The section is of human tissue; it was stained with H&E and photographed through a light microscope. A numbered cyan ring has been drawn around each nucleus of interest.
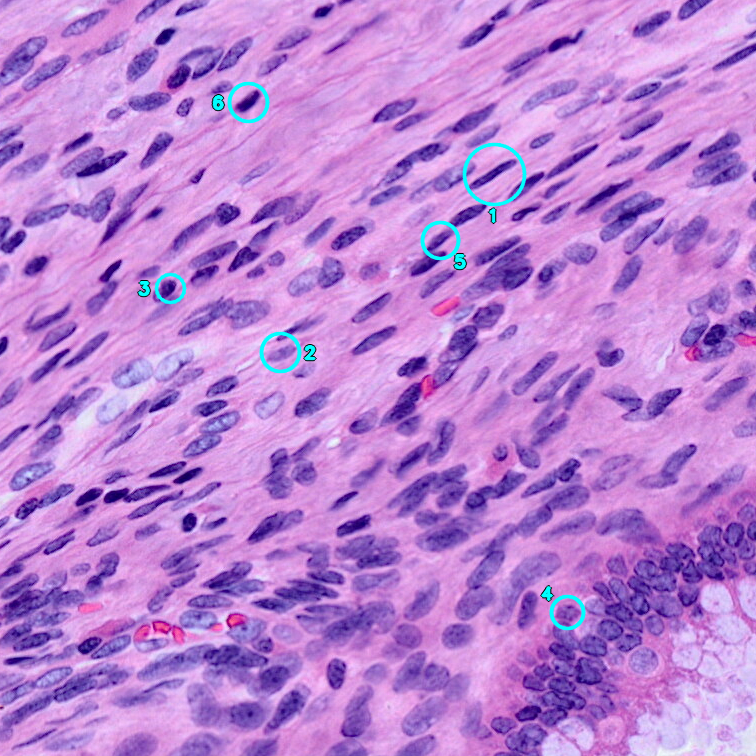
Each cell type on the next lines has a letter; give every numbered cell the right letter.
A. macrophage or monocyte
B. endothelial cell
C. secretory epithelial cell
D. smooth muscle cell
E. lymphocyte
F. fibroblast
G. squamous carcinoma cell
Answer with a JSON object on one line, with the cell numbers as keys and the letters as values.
{"1": "F", "2": "F", "3": "E", "4": "C", "5": "F", "6": "E"}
